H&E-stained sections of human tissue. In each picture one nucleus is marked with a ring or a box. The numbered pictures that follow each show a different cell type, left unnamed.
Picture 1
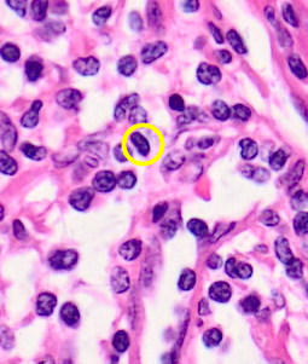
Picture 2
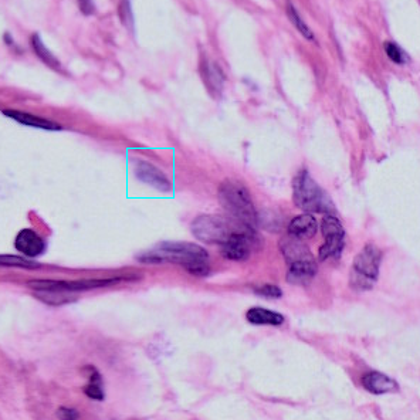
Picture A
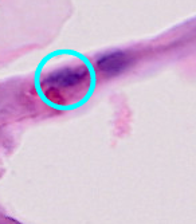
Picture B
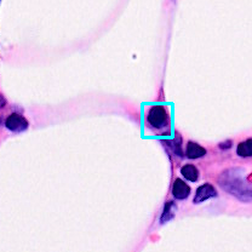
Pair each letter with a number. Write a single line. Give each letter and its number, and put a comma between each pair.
A 2, B 1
